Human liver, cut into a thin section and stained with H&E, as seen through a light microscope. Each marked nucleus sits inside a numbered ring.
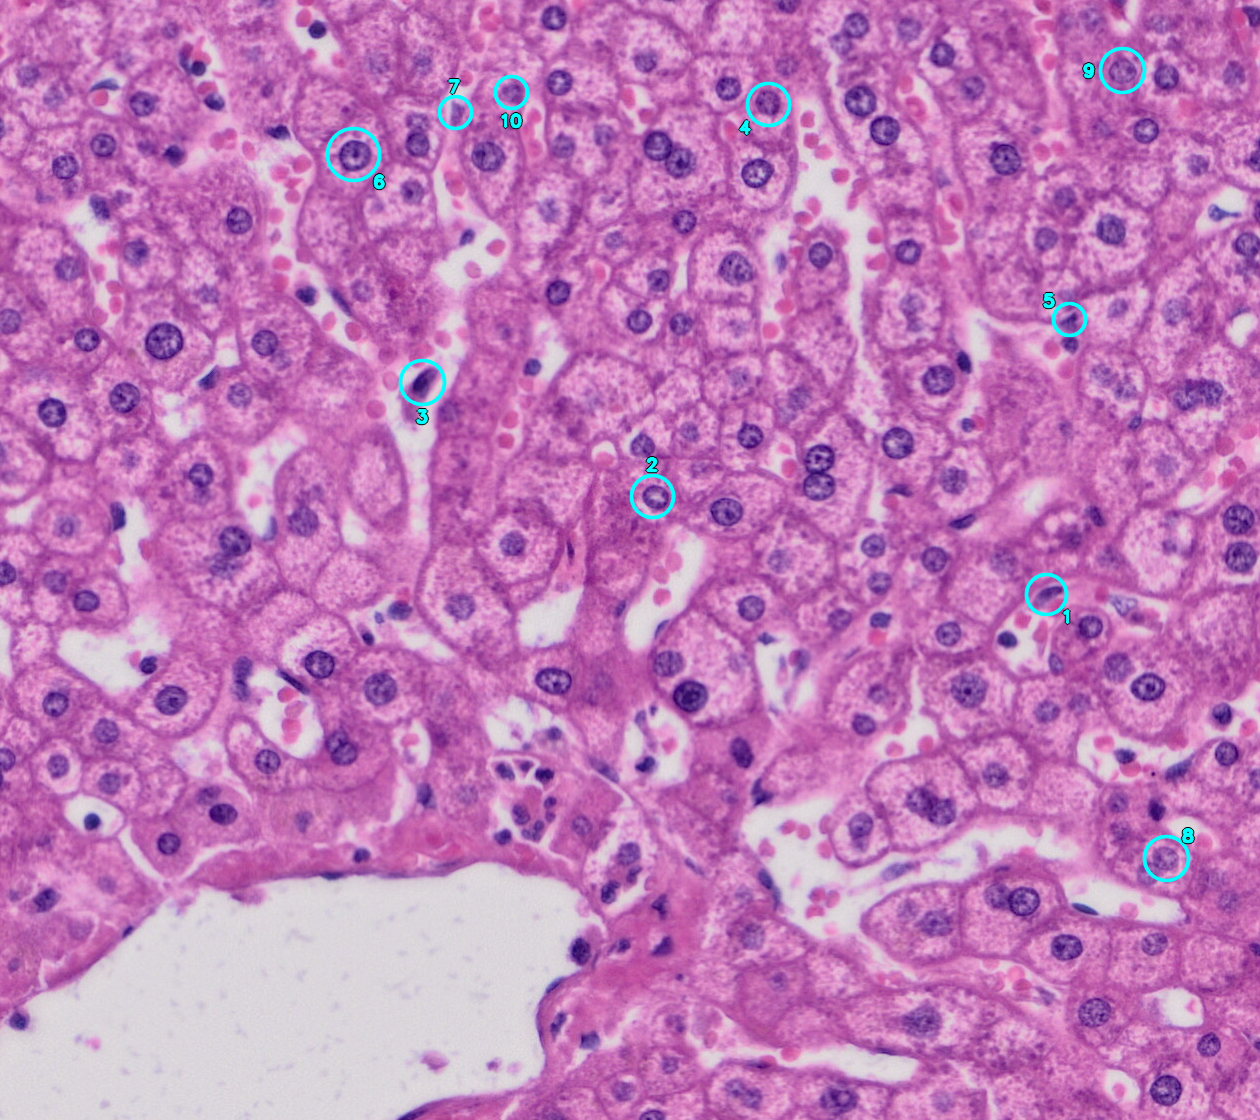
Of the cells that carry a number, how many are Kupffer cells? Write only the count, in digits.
1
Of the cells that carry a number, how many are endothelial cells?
2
